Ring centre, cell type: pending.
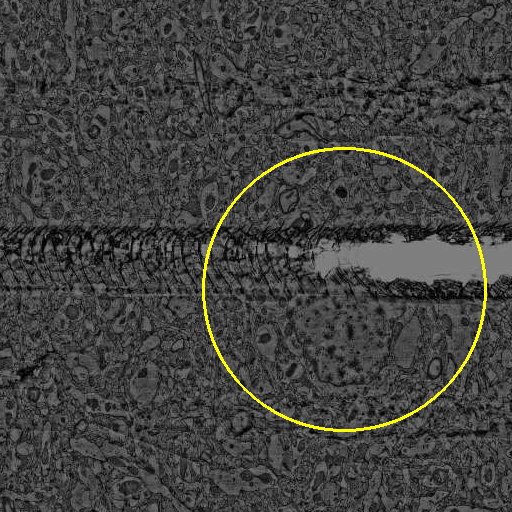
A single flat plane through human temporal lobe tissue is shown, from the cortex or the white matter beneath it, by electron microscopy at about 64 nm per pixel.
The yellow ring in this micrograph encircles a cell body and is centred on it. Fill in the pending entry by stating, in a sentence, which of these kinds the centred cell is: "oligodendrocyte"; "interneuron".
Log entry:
The centred cell is recorded as an interneuron.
